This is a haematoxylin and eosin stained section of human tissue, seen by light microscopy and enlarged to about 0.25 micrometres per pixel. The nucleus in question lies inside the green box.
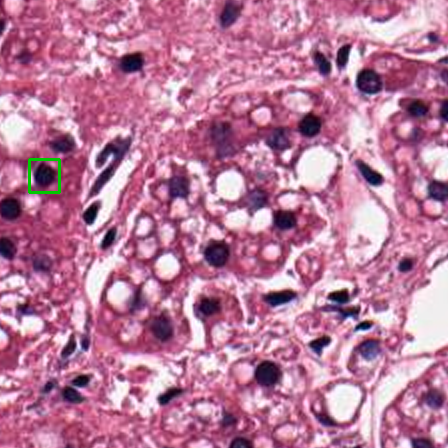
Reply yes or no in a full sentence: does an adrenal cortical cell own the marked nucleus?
Yes, the marked nucleus belongs to an adrenal cortical cell.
